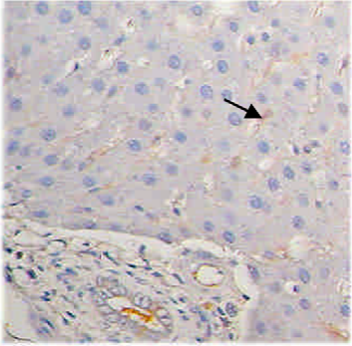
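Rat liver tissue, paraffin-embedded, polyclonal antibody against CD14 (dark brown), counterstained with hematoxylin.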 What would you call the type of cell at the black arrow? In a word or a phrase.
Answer: Kupffer cells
